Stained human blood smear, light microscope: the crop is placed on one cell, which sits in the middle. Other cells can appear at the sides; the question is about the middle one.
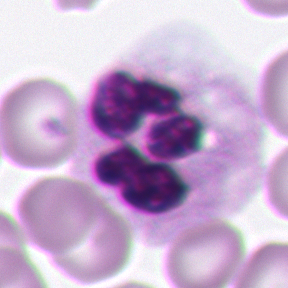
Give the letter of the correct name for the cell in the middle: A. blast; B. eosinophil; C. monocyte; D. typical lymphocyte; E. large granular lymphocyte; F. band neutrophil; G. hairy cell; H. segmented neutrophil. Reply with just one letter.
H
